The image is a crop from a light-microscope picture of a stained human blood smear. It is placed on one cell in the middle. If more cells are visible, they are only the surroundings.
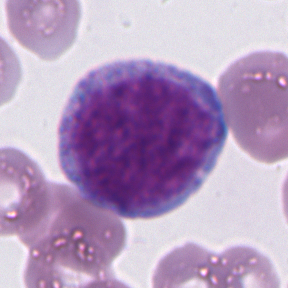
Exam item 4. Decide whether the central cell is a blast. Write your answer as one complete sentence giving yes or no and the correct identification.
No, it is a promyelocyte, not a blast, that lies at the centre of the crop.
